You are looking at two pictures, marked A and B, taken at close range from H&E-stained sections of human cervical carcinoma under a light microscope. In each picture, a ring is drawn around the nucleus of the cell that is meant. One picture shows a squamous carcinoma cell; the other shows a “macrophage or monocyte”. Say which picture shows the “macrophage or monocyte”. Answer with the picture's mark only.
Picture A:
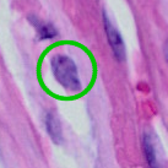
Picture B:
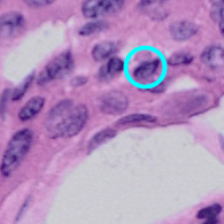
A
